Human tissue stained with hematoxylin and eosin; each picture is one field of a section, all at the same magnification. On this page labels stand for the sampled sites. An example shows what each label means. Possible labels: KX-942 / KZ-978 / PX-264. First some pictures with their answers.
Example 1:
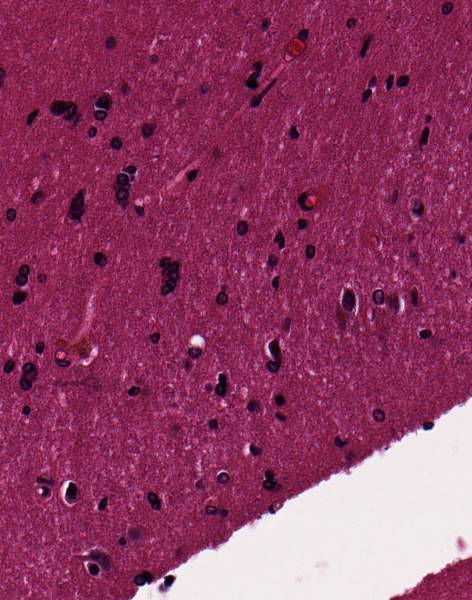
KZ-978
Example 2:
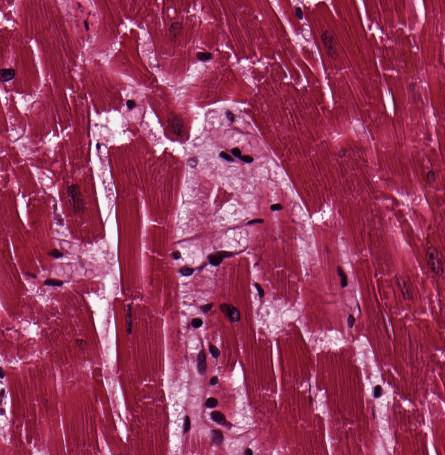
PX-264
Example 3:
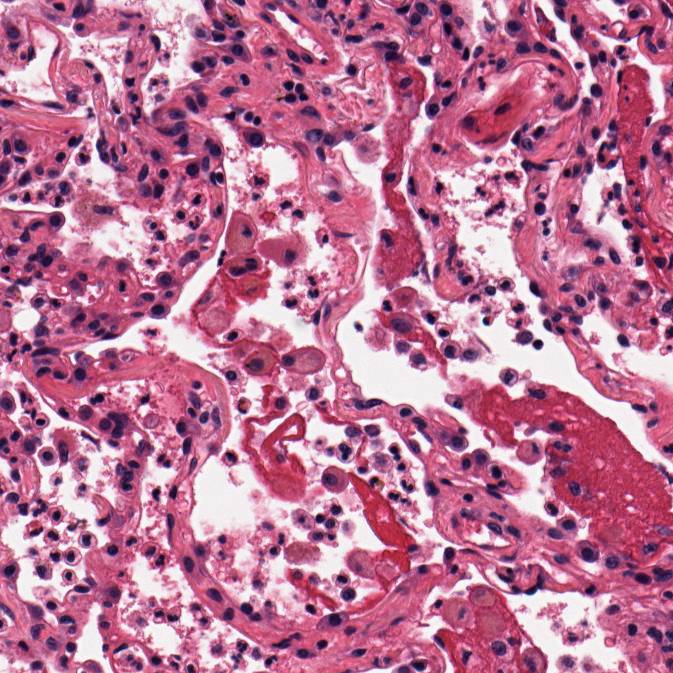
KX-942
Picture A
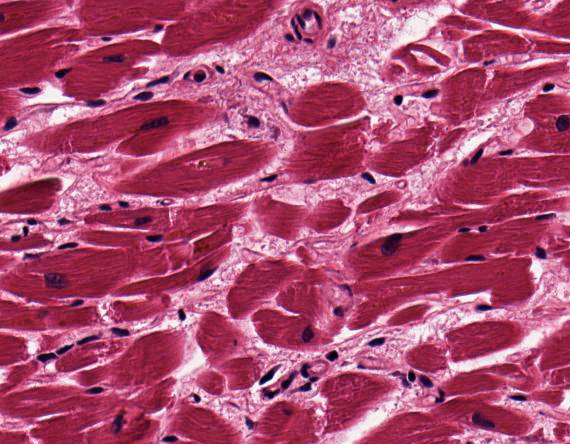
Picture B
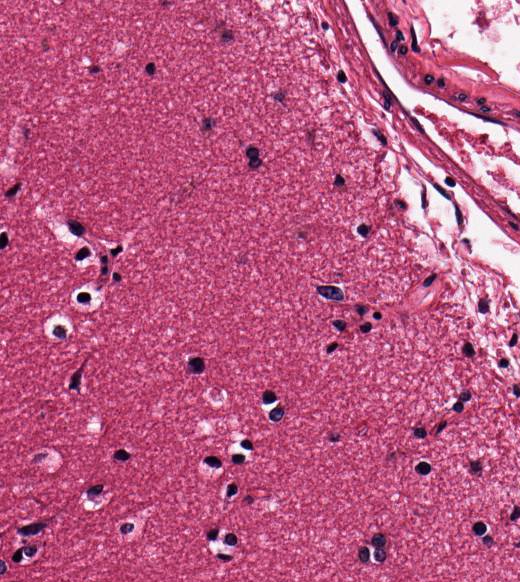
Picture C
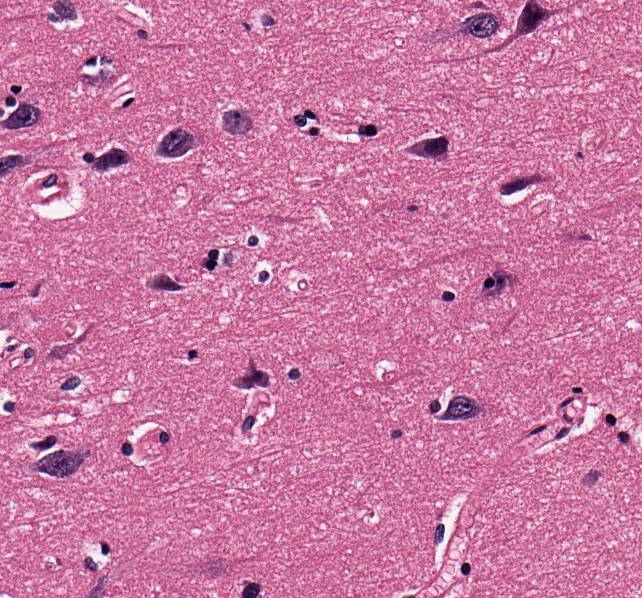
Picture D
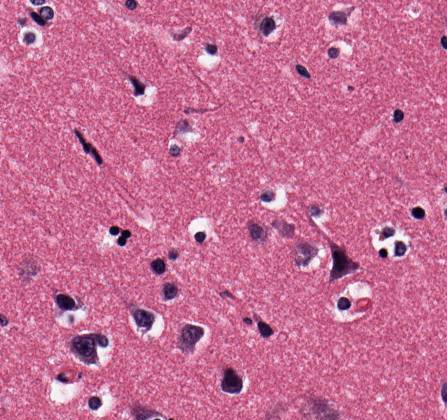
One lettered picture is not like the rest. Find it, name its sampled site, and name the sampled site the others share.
Exception: A, showing PX-264. Remaining pictures: KZ-978.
